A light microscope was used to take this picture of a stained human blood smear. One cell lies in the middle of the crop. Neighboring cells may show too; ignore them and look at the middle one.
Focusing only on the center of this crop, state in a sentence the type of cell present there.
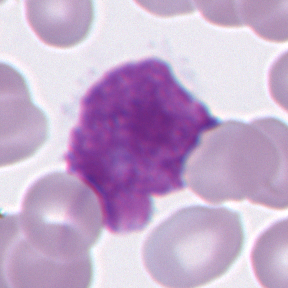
The central cell shown in this smear crop is a smudge cell.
